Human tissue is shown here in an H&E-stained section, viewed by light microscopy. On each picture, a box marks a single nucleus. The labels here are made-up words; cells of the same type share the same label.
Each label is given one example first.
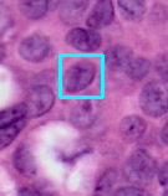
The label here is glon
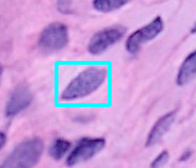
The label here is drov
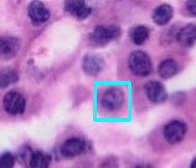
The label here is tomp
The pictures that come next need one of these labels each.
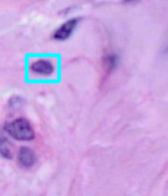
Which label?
drov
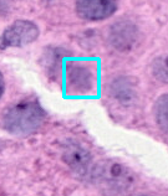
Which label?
glon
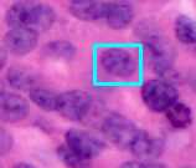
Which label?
glon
